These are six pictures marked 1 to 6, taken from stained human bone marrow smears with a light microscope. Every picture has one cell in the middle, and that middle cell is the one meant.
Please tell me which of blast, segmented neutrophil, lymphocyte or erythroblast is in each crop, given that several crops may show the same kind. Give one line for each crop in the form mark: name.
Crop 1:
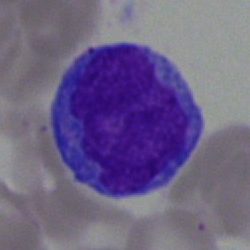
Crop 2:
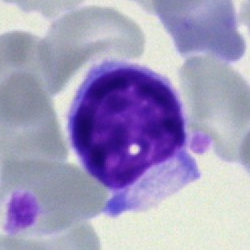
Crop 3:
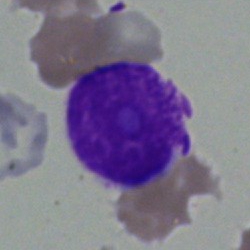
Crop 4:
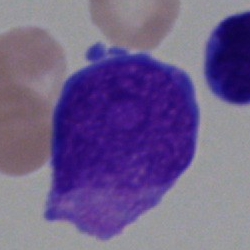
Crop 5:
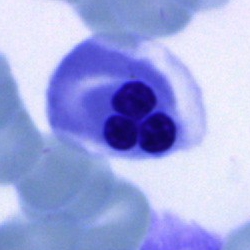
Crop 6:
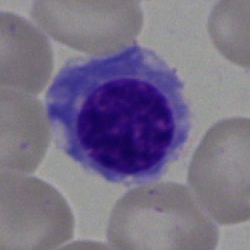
1: blast
2: lymphocyte
3: blast
4: blast
5: erythroblast
6: erythroblast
